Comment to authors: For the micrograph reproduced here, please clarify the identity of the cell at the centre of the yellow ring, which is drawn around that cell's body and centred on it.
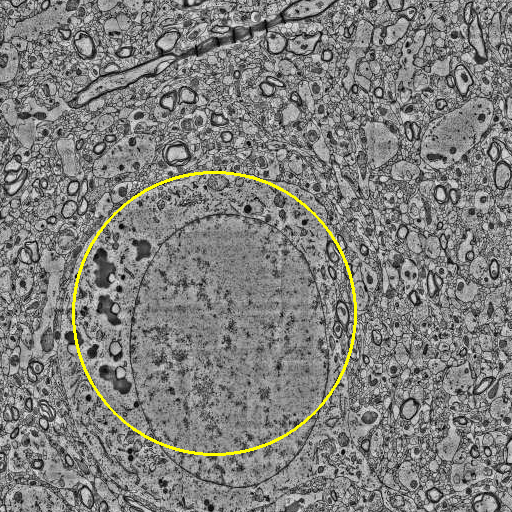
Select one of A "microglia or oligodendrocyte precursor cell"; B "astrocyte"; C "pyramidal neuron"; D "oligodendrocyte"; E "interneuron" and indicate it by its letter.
C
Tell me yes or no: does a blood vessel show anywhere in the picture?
No, there is no blood vessel.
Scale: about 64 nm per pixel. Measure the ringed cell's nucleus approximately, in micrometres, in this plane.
Roughly 18 by 13 micrometres in this plane, for the nucleus of the ringed cell.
